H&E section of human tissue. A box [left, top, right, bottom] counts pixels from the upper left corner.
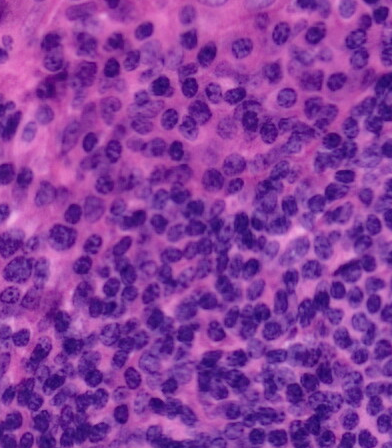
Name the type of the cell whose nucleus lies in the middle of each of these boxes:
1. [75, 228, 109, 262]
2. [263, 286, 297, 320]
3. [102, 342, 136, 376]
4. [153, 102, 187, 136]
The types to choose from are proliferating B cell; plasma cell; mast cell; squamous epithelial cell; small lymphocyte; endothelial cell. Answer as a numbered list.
1. plasma cell
2. small lymphocyte
3. small lymphocyte
4. plasma cell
